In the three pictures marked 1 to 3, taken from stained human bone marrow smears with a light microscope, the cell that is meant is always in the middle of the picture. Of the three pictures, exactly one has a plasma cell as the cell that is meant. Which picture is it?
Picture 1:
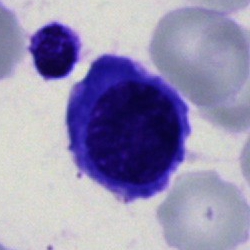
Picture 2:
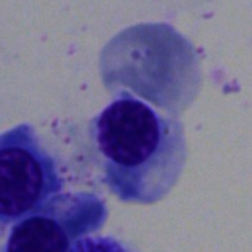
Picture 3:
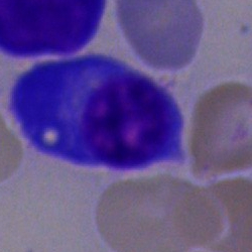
3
